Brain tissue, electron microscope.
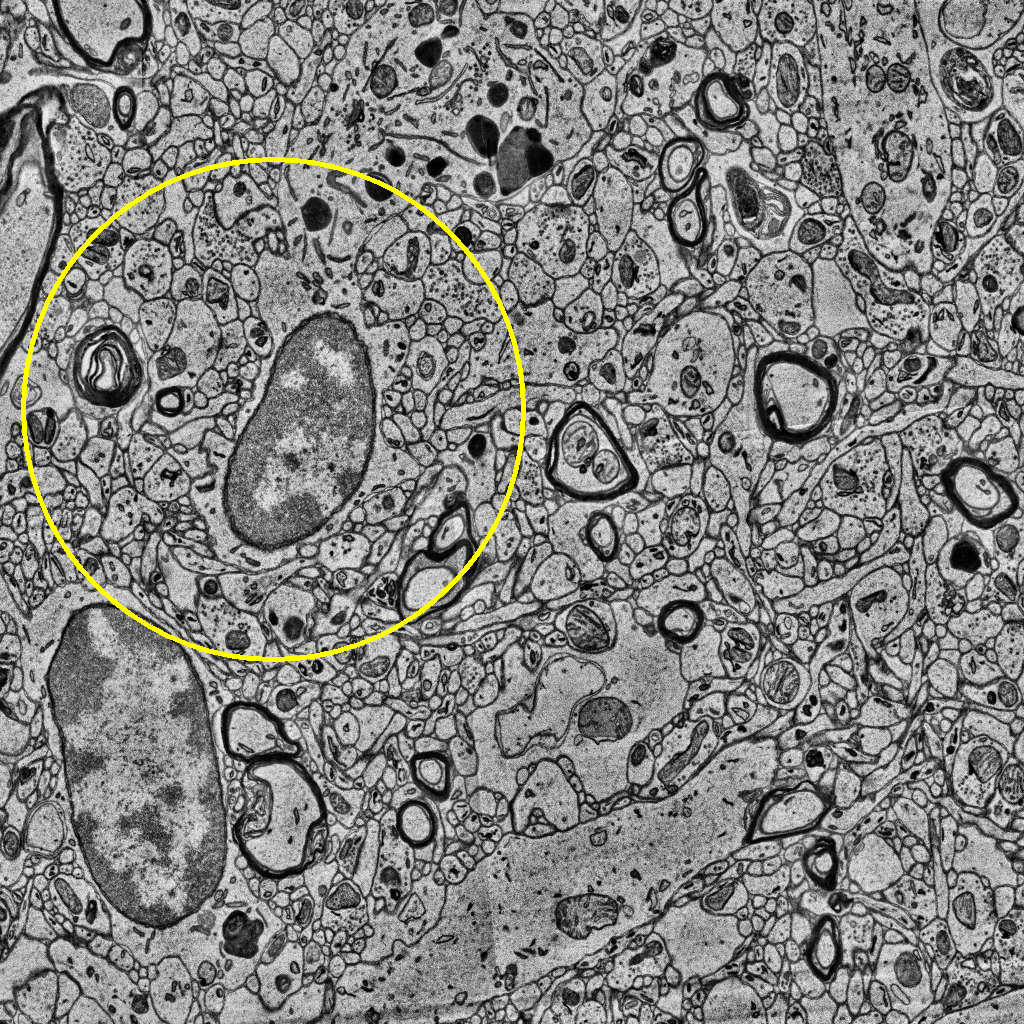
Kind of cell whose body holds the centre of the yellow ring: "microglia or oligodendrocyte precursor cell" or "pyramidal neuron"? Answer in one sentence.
The ring's centre falls on a microglial cell or oligodendrocyte precursor cell.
